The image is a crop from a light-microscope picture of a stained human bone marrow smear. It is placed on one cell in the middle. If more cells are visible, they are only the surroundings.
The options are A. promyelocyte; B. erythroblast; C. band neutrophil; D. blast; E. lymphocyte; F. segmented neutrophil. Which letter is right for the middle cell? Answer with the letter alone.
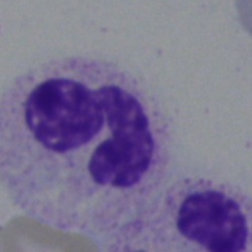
F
